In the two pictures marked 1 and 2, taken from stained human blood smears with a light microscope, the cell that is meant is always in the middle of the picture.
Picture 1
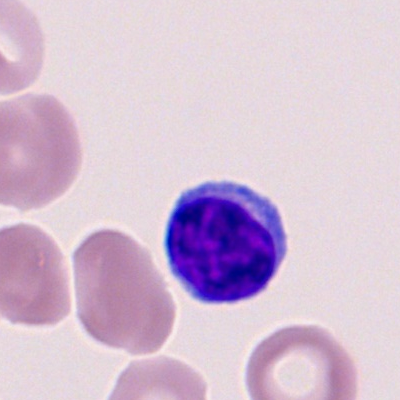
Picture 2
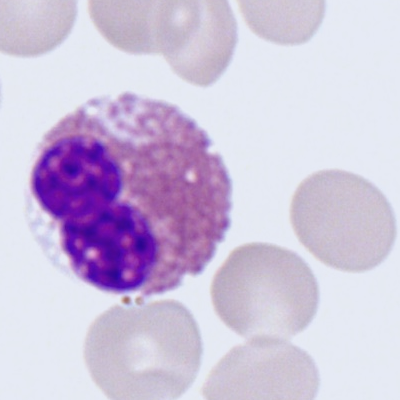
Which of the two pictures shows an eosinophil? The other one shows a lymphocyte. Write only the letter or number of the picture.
2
